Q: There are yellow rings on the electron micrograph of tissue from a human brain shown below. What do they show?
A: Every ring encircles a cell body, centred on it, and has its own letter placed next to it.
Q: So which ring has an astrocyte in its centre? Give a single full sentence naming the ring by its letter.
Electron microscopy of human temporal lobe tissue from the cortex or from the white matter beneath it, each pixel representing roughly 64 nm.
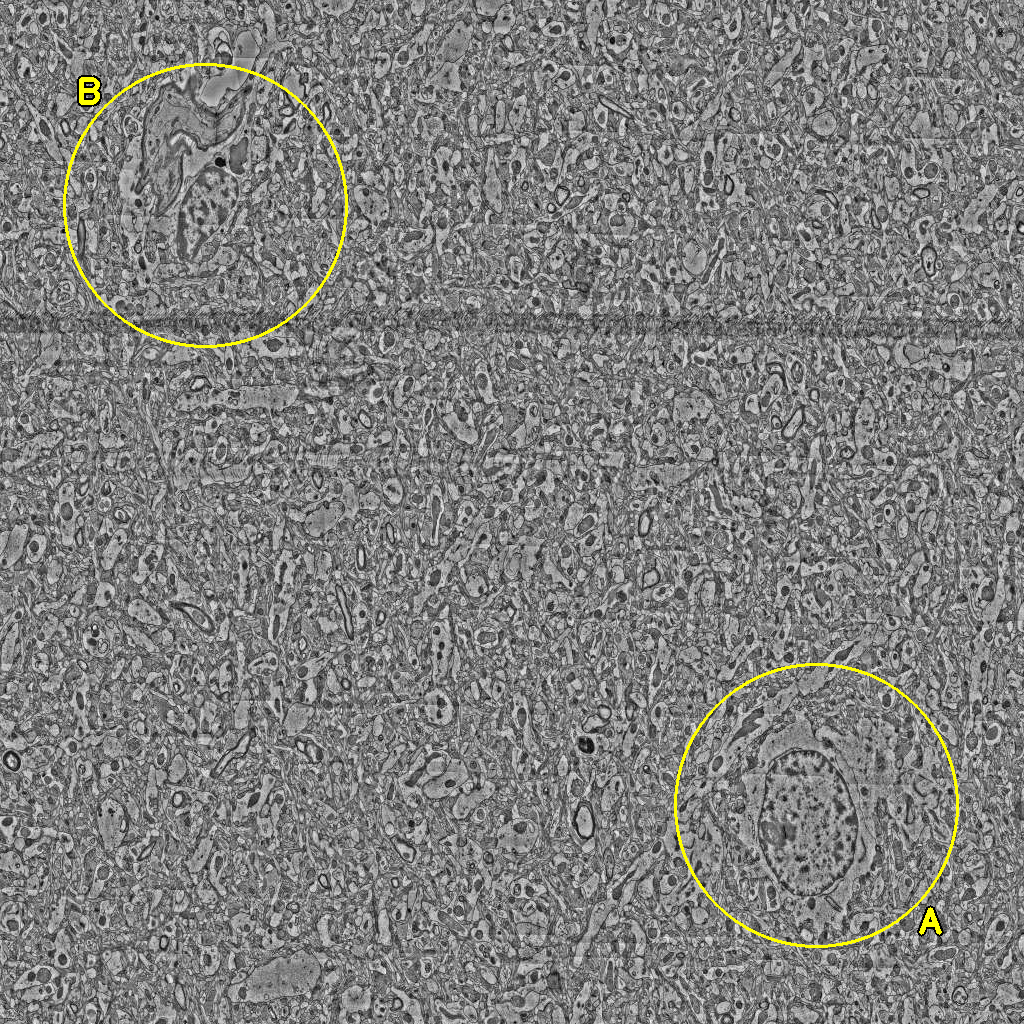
Ring A has the cell asked for at its centre in the picture.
